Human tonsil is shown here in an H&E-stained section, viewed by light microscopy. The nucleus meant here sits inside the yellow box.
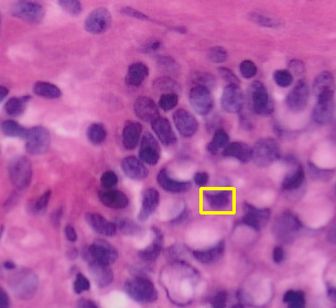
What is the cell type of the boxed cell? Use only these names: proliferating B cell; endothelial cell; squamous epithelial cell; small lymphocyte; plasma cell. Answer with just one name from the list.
squamous epithelial cell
